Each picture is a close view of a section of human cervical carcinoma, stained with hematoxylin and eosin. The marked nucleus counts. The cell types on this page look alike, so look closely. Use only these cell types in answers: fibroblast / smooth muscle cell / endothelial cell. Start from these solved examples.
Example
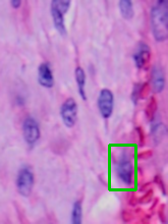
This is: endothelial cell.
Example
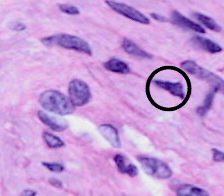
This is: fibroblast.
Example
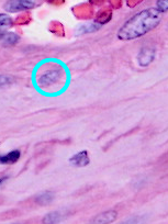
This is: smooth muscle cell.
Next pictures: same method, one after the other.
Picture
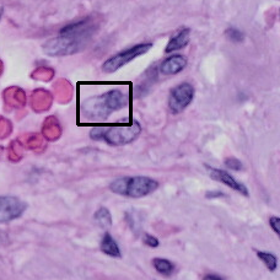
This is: endothelial cell.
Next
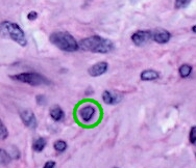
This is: smooth muscle cell.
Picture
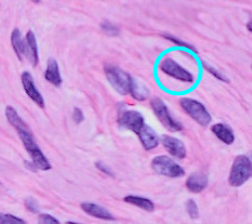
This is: fibroblast.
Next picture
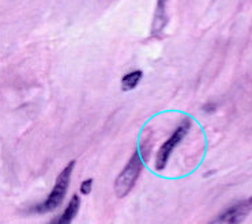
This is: fibroblast.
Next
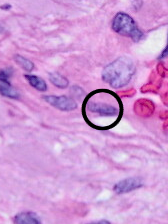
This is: endothelial cell.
